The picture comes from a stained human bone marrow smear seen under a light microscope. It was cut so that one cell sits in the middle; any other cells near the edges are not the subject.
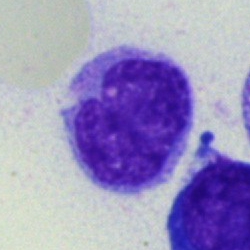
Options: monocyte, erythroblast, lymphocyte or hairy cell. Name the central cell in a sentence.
In the central position of this crop, the cell is a monocyte.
